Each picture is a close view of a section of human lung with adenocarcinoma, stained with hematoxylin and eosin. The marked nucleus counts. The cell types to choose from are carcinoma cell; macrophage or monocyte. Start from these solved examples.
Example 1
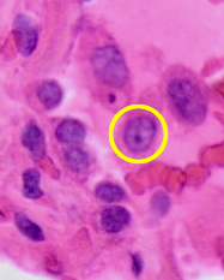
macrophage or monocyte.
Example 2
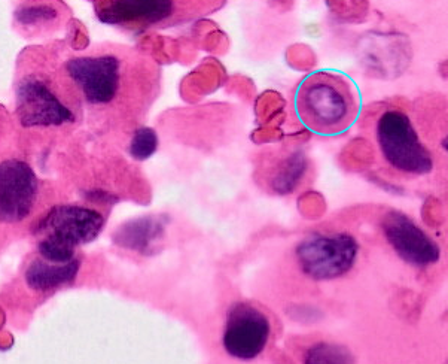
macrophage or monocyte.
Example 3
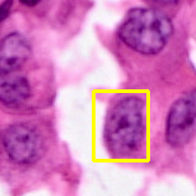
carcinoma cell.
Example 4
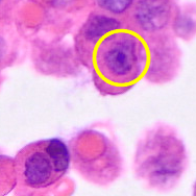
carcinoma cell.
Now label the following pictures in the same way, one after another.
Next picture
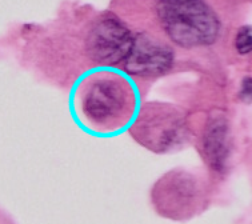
carcinoma cell.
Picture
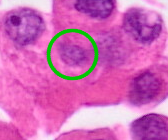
carcinoma cell.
